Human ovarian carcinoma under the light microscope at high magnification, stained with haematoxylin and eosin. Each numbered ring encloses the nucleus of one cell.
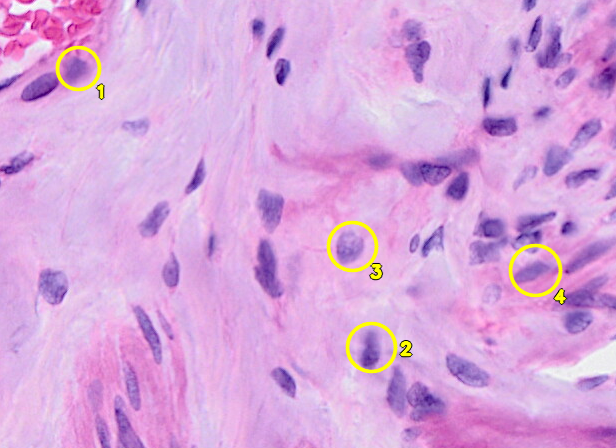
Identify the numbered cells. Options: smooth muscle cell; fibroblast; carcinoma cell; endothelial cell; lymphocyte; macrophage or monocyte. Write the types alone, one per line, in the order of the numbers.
endothelial cell
fibroblast
fibroblast
smooth muscle cell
